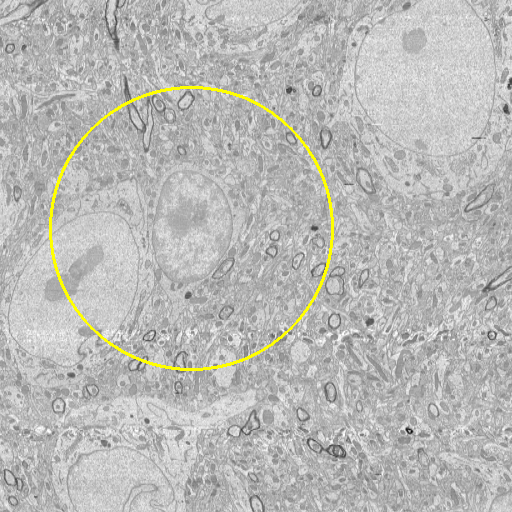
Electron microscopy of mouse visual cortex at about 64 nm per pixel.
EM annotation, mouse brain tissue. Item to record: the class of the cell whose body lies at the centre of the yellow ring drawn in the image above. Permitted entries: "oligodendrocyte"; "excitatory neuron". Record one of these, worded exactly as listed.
oligodendrocyte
